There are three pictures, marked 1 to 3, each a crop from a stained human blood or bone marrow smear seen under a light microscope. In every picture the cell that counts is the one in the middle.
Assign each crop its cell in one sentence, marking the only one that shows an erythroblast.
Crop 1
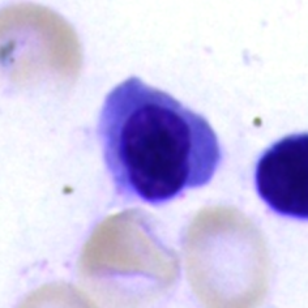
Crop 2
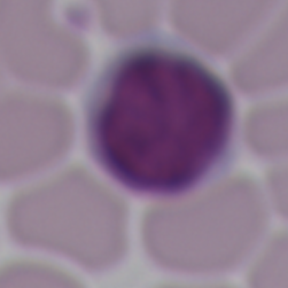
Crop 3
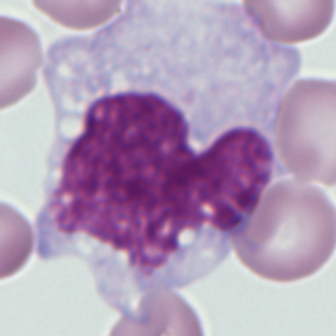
Centred in crop 1 is an erythroblast, while crop 2 is a lymphocyte and crop 3 is a monocyte.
